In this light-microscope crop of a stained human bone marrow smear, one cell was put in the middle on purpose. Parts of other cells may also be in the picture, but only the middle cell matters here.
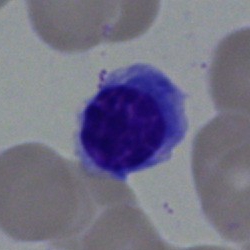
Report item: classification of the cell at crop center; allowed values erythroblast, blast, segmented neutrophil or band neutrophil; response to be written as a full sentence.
The cell at the middle of the frame should be recorded as an erythroblast.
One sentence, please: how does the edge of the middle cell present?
Rather than running smoothly, the cell border is ragged or carries projections.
